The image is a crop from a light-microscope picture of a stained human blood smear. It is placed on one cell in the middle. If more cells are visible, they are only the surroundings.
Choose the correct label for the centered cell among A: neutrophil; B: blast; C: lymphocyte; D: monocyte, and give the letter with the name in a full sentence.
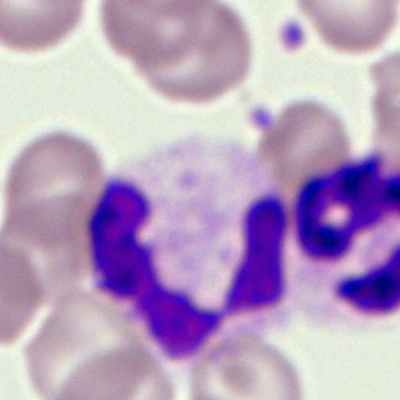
Option A gives the correct identity of the central cell, namely a neutrophil.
